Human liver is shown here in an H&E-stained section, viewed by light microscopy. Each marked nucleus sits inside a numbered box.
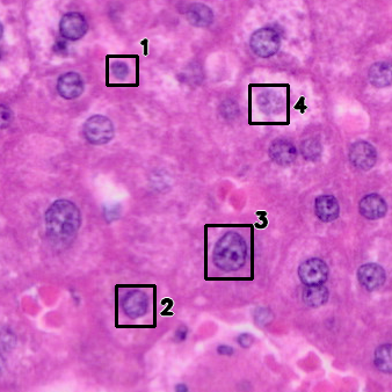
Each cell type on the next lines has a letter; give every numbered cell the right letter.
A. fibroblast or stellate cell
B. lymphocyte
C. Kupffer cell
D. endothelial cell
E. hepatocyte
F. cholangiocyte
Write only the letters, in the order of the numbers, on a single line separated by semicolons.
B; E; E; E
